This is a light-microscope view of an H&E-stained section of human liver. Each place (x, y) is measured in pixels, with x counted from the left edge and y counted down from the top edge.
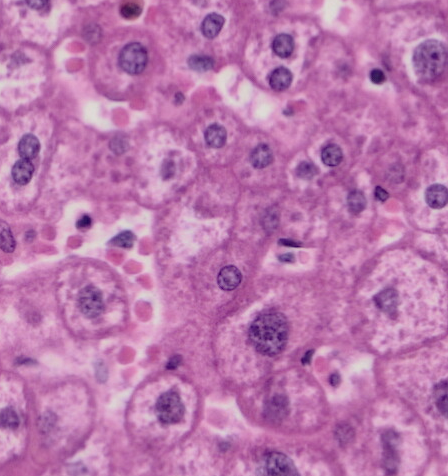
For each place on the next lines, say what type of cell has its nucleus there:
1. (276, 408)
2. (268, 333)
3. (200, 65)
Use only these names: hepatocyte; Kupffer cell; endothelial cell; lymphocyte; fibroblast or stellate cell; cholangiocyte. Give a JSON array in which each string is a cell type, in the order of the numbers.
["hepatocyte", "hepatocyte", "endothelial cell"]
